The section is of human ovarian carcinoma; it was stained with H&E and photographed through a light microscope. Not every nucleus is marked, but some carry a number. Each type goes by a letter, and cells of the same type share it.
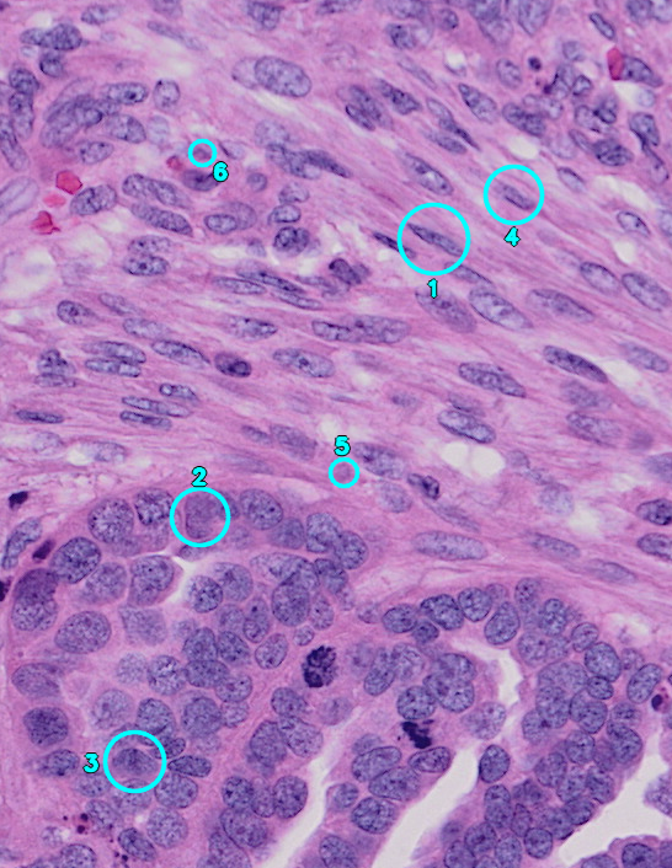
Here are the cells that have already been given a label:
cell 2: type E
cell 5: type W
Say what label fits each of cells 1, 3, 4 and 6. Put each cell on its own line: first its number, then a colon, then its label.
1: type W
3: type E
4: type W
6: type W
